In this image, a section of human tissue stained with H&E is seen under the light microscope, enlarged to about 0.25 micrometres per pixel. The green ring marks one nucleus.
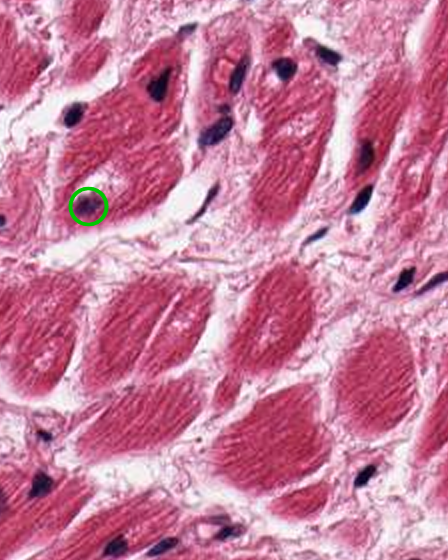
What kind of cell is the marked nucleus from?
cardiomyocyte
